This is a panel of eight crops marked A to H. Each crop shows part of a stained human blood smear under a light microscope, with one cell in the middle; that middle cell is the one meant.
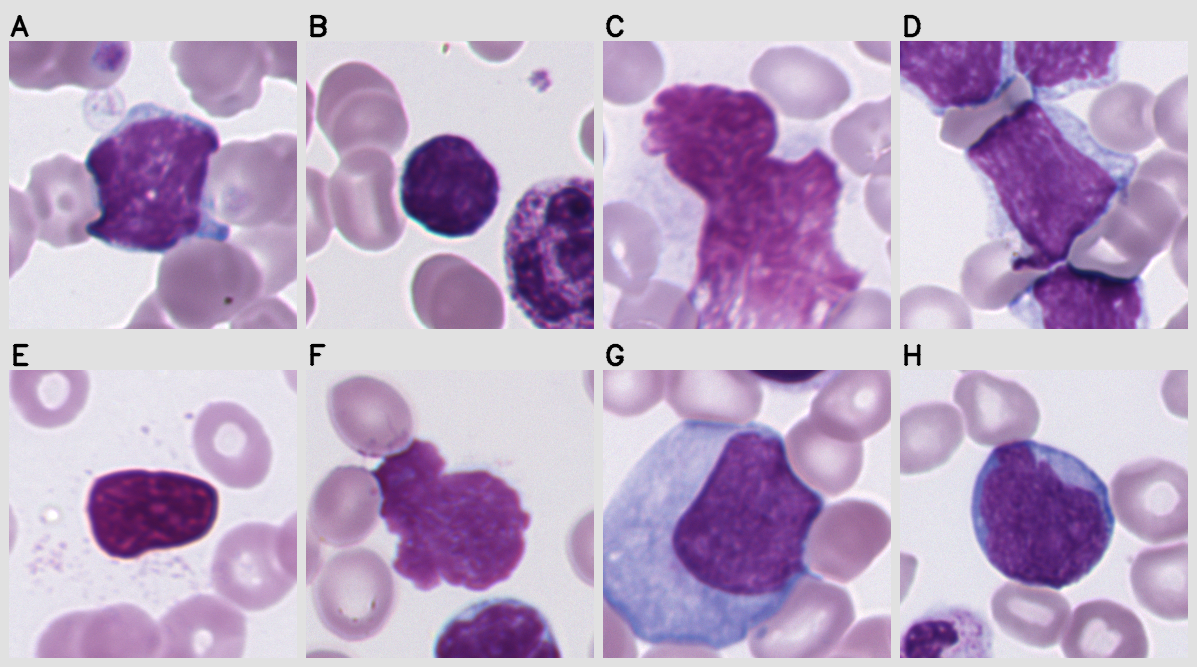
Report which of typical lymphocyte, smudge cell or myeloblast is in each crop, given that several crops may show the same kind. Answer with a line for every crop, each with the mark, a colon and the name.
A: typical lymphocyte
B: typical lymphocyte
C: smudge cell
D: typical lymphocyte
E: smudge cell
F: smudge cell
G: myeloblast
H: myeloblast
